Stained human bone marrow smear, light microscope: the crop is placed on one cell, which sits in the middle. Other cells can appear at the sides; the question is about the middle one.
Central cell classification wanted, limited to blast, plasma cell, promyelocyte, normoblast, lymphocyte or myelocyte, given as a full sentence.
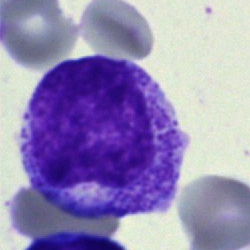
The cell in the middle of the field of view is a myelocyte.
